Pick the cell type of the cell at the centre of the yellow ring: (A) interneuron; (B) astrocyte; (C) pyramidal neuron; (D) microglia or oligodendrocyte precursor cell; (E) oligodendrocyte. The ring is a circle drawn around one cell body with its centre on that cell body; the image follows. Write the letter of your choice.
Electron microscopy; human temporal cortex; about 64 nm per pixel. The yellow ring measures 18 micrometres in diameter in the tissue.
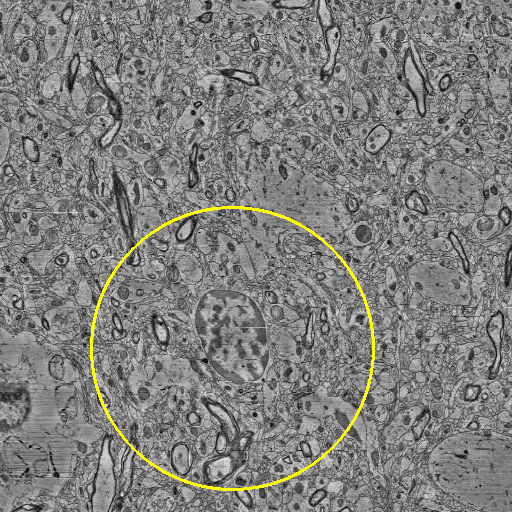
D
